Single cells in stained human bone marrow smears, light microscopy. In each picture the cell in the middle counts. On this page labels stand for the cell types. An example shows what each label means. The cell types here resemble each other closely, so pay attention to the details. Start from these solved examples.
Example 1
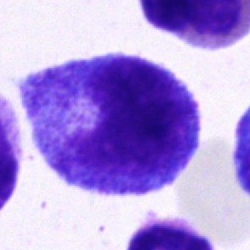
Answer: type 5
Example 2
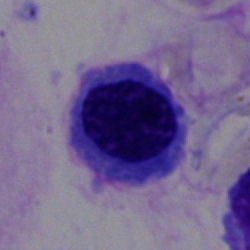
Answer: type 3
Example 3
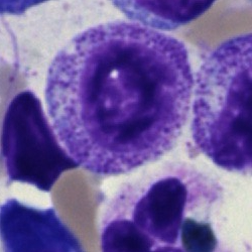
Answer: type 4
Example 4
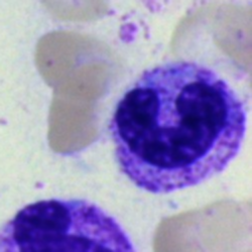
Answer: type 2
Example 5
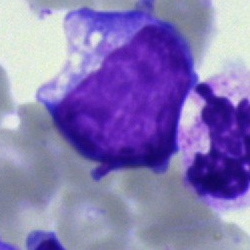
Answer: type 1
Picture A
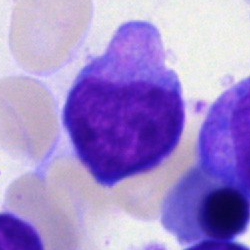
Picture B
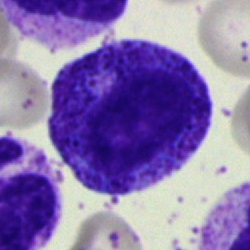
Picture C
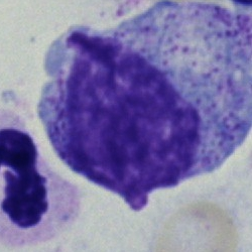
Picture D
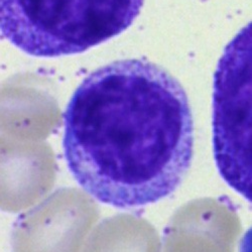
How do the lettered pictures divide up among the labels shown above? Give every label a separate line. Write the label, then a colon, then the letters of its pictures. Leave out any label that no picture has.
type 5: B, C
type 4: D
type 1: A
